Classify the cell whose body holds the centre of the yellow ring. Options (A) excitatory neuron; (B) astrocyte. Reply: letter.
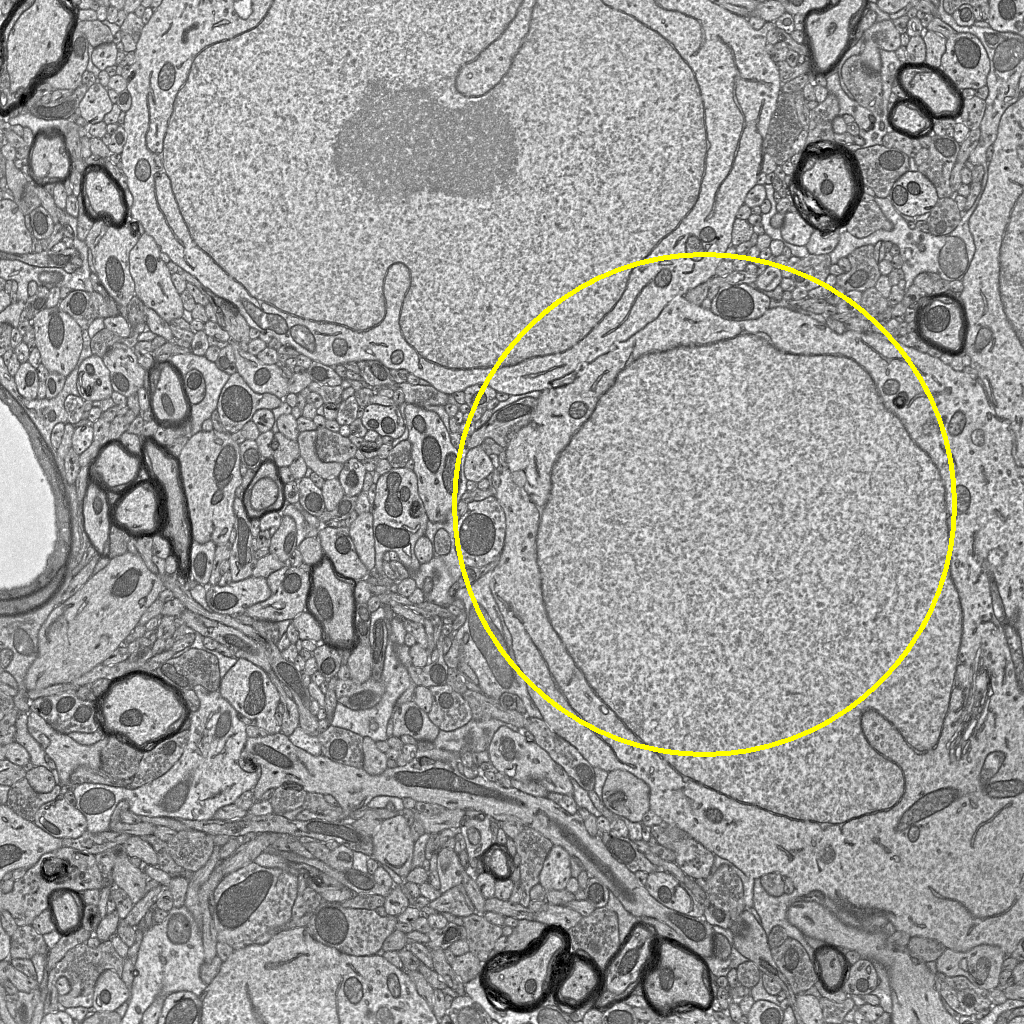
A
